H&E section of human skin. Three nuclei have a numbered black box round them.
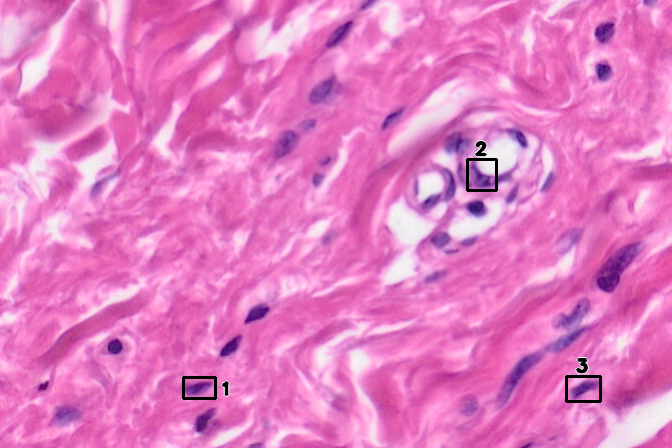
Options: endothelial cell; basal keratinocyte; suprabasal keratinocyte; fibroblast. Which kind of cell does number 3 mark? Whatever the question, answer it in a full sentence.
The cell identified by number 3 is a fibroblast.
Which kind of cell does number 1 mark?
The cell referred to as 1 is a fibroblast.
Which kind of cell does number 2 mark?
In the marked set, the cell given number 2 is an endothelial cell.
